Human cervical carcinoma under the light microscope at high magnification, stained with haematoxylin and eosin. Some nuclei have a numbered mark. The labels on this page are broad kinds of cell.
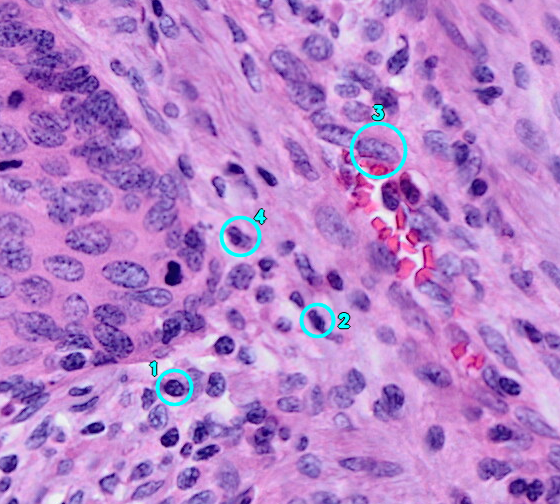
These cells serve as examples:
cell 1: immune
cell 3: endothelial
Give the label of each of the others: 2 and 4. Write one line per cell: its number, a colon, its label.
2: immune
4: immune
